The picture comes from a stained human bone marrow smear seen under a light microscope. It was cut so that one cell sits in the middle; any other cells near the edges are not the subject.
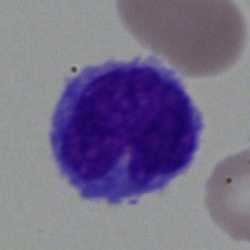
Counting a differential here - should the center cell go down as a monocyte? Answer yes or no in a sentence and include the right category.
Yes, the centre of the crop holds a monocyte.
